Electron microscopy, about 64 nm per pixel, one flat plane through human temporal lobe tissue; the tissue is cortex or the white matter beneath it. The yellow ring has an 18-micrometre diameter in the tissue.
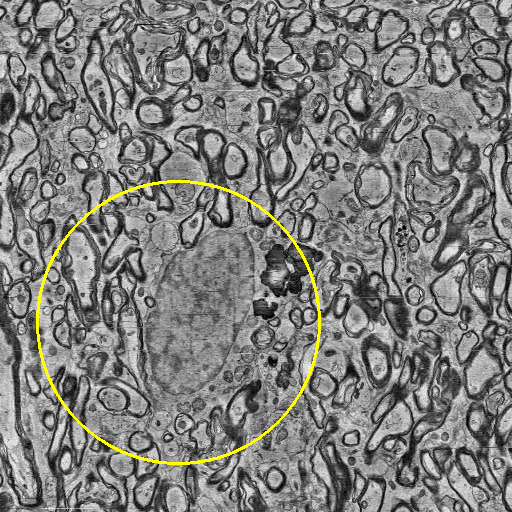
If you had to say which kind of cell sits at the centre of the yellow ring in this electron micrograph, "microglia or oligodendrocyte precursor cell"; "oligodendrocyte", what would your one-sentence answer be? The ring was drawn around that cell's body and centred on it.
The cell sitting at the centre of the ring is an oligodendrocyte.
